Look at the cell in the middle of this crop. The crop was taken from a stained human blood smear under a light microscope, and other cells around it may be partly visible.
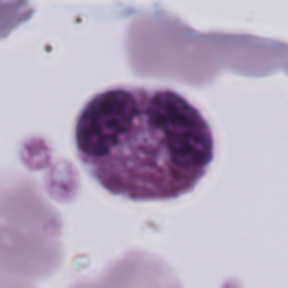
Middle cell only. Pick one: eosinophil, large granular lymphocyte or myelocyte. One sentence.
The cell of interest, located centrally, is an eosinophil.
